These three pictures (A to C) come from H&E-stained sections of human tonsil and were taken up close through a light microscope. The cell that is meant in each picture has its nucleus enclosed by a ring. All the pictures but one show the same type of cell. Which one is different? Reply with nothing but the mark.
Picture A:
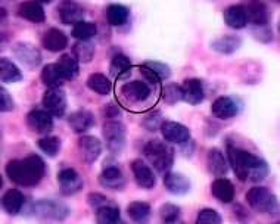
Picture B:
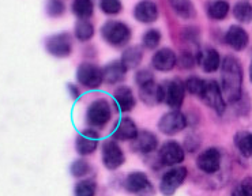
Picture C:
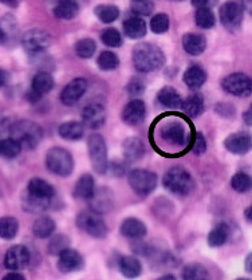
C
